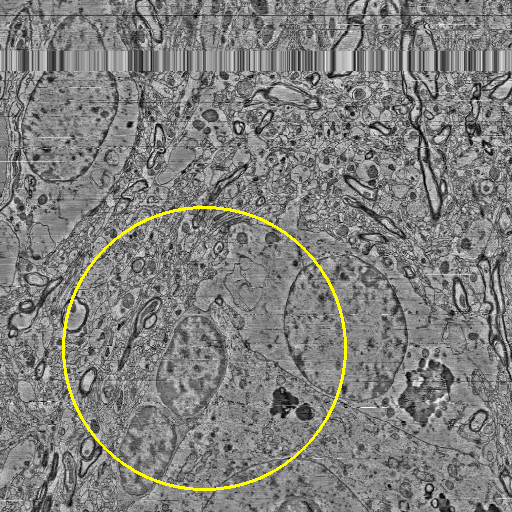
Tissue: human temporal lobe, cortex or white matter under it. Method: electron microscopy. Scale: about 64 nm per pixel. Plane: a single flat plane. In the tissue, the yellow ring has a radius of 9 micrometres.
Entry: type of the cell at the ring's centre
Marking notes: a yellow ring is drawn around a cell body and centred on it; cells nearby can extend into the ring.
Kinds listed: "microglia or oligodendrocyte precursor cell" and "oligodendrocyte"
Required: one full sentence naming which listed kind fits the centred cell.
My entry names an oligodendrocyte as the cell whose body the yellow ring centres on.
